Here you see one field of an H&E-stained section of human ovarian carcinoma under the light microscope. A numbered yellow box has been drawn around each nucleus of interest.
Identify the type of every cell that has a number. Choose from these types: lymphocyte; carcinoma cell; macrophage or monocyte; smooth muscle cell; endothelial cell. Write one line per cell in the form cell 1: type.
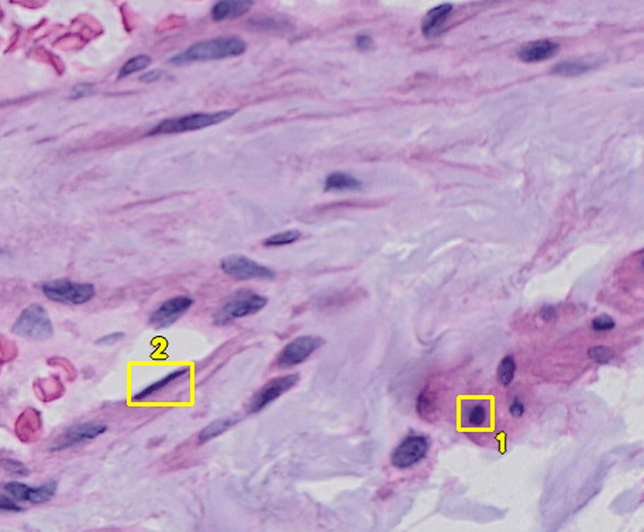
cell 1: smooth muscle cell
cell 2: endothelial cell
